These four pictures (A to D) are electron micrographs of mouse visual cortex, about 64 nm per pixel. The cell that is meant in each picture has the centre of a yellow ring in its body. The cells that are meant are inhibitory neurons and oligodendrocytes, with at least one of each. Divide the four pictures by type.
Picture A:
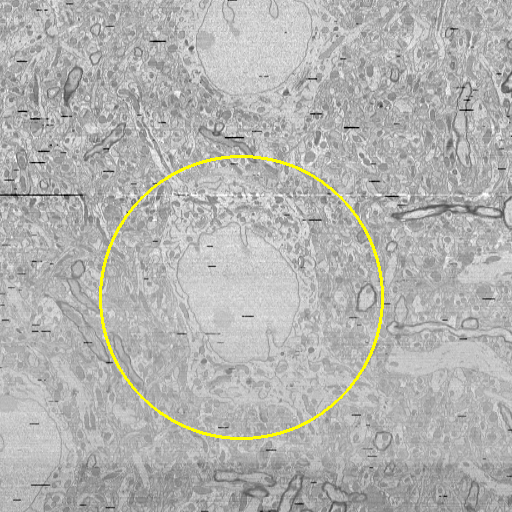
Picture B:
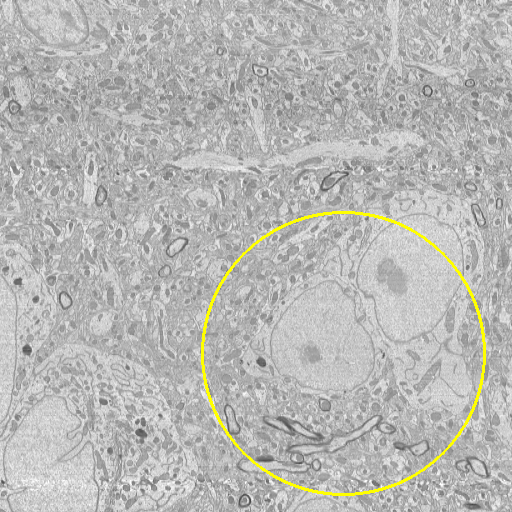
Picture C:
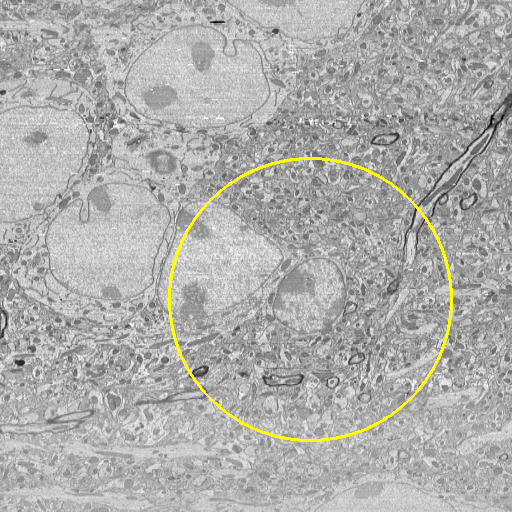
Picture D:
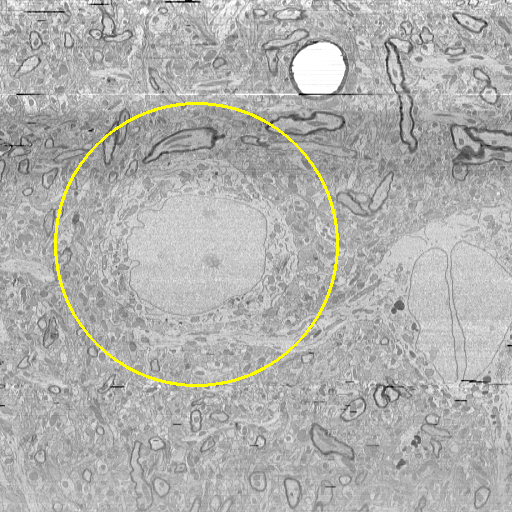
Pictures A, B and D show inhibitory neurons, and picture C shows an oligodendrocyte.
